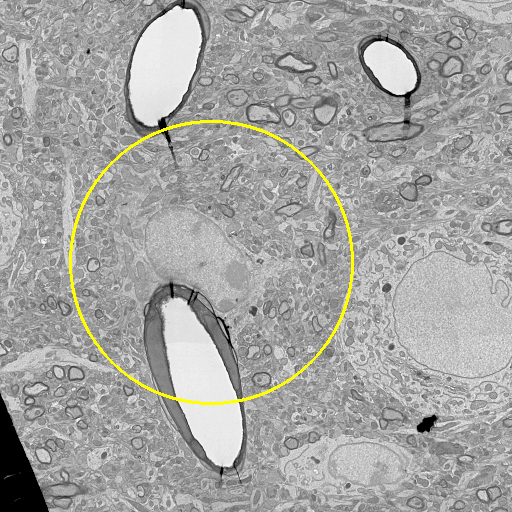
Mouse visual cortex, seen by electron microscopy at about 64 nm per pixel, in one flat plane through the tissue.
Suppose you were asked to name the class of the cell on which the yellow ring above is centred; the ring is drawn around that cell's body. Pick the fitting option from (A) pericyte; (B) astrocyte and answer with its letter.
B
